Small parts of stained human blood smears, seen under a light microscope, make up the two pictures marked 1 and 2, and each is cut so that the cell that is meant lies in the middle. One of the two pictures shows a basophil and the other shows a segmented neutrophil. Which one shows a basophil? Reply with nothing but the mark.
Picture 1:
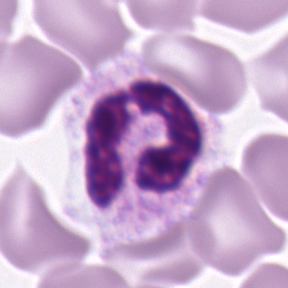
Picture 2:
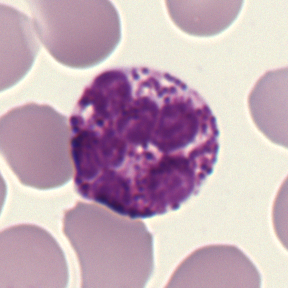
2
